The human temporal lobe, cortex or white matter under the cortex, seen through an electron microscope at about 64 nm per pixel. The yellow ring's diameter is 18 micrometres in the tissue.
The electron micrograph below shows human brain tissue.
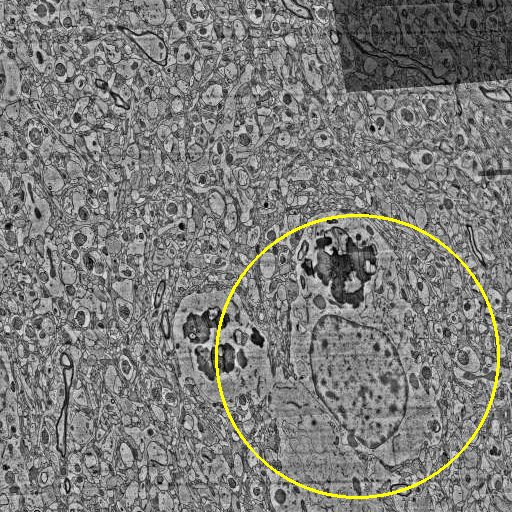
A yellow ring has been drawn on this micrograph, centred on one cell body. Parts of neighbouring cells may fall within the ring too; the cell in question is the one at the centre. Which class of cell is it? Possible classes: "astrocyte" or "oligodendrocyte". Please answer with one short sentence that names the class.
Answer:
In the centre of the ring sits an astrocyte.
